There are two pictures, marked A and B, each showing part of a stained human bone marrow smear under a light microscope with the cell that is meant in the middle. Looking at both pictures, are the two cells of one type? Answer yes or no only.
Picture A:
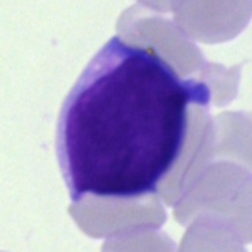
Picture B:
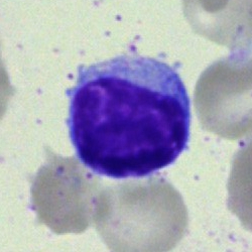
no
